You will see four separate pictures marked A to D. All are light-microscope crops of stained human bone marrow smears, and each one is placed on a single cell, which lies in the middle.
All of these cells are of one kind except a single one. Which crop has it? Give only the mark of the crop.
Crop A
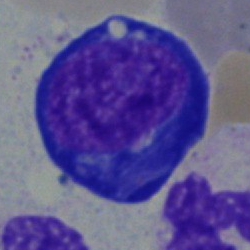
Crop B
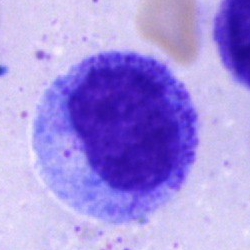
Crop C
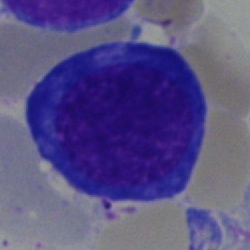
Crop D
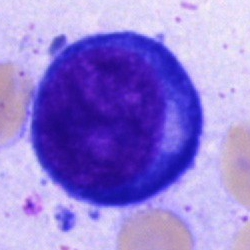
B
